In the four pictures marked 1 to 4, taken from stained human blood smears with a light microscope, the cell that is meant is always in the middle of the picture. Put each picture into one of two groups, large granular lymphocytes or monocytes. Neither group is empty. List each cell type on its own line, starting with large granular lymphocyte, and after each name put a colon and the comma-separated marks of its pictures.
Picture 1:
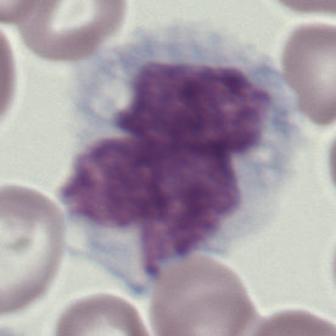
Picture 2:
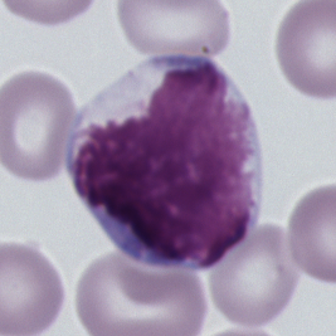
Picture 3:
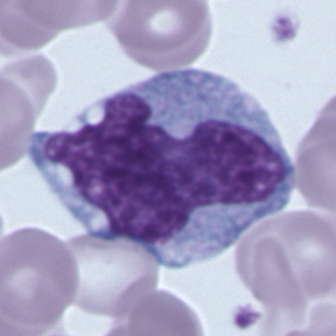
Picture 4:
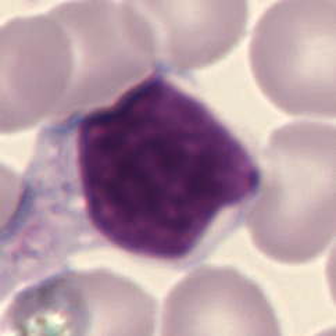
large granular lymphocyte: 2, 4
monocyte: 1, 3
